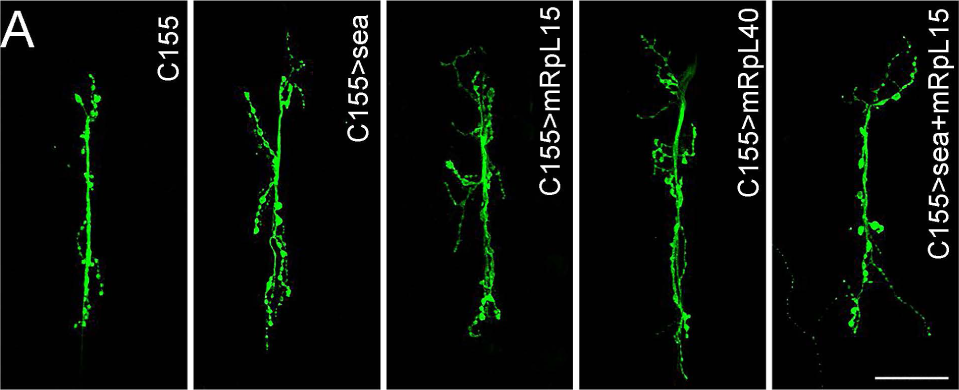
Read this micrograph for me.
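These are motor nerve terminals at a larval neuromuscular junction, outlined in green. Each terminal runs as a main trunk with side branches. Along the branches sit chains of round swellings, the synaptic boutons, like beads on a string.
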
